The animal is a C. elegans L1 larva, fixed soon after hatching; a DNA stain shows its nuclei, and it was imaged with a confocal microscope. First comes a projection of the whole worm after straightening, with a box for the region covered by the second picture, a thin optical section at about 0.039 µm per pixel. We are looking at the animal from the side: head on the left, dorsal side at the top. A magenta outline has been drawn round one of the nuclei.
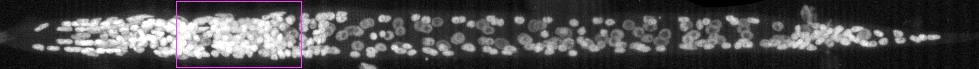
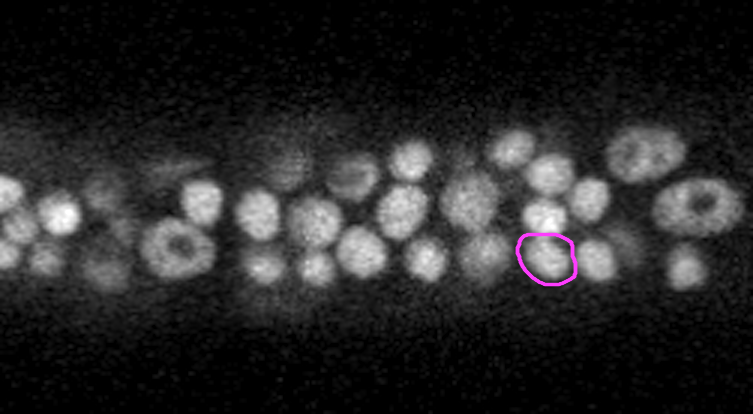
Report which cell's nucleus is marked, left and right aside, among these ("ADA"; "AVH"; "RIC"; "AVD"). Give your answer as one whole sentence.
The marked cell is RIC, a neuron.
